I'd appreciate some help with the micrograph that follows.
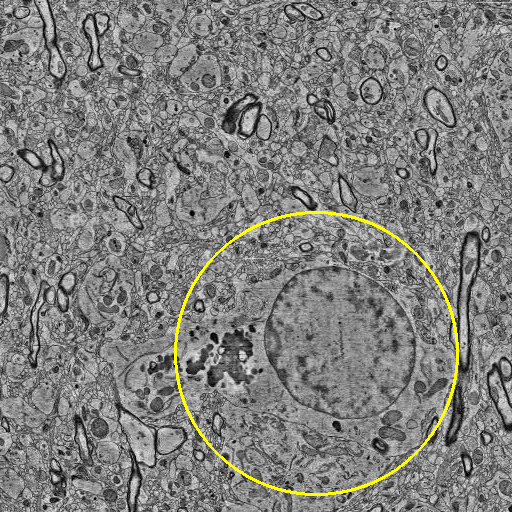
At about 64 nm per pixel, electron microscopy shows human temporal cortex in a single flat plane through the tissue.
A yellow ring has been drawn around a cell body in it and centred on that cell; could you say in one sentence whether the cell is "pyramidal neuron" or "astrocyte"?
It is an astrocyte at the centre of the ring.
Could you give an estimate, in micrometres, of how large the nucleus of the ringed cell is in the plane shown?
Roughly 11 by 9 micrometres is the size of the nucleus in this plane.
